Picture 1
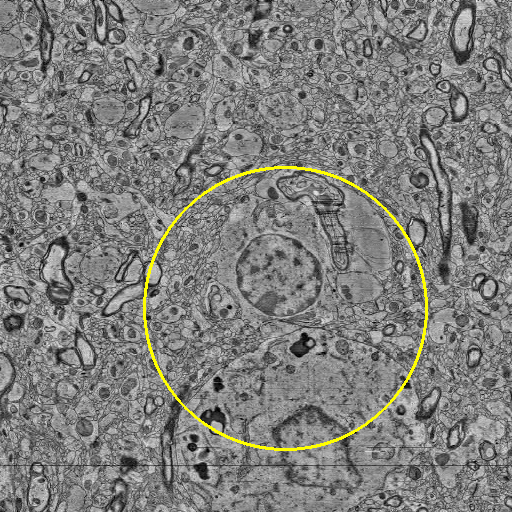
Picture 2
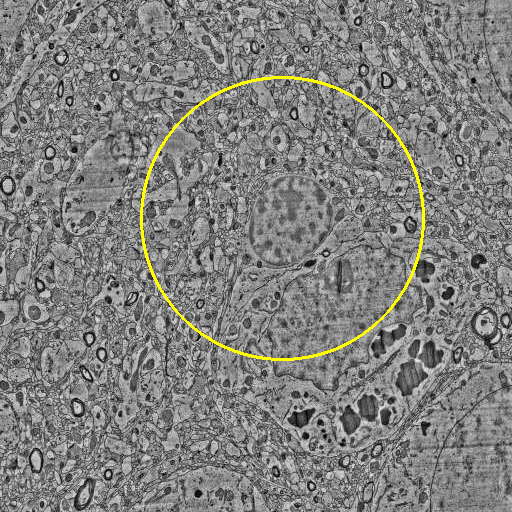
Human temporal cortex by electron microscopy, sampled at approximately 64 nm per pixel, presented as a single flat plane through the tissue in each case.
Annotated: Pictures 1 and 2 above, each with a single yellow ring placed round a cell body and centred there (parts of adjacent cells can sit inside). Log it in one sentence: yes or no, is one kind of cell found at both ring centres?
No, the ring centres of the two pictures hold cells of two kinds.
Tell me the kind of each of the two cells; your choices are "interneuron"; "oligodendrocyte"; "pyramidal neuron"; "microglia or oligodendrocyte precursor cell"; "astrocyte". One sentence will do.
The ringed cell is a microglial cell or oligodendrocyte precursor cell in the first picture and an oligodendrocyte in the second picture.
